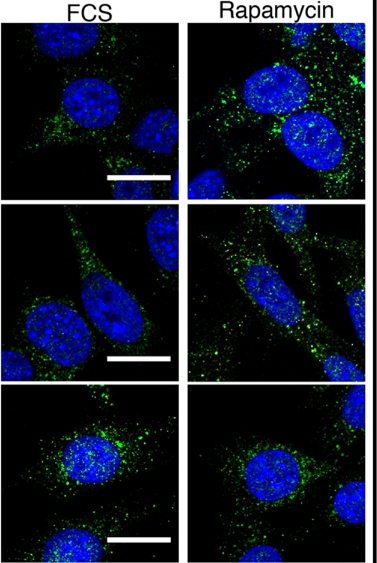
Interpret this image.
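Around each nucleus the cytoplasm spreads out flat and irregular, with tapering extensions toward neighbouring cells. The cytoplasm is not stained evenly. Instead it holds many small, separate green dots. These are small vesicles, and they gather most densely near the nucleus and thin out toward the cell edges. From field to field the number of green dots per cell changes, and some fields are crowded with them while others are sparse.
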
